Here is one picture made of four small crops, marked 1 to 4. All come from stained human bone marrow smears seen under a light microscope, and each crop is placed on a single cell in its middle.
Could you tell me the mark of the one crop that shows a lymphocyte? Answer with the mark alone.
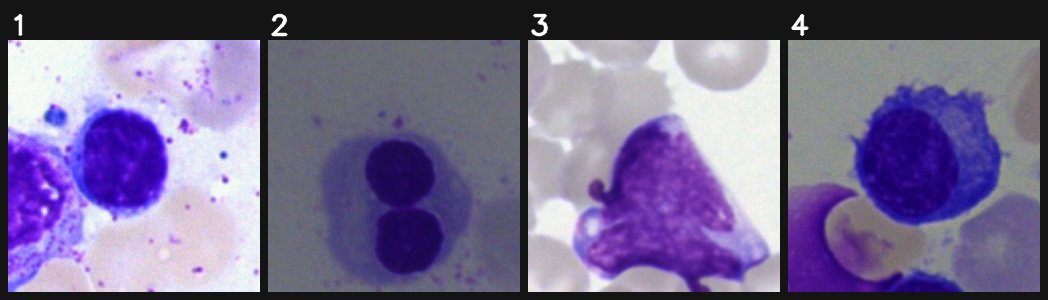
1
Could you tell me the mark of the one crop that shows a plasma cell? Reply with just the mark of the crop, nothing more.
4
